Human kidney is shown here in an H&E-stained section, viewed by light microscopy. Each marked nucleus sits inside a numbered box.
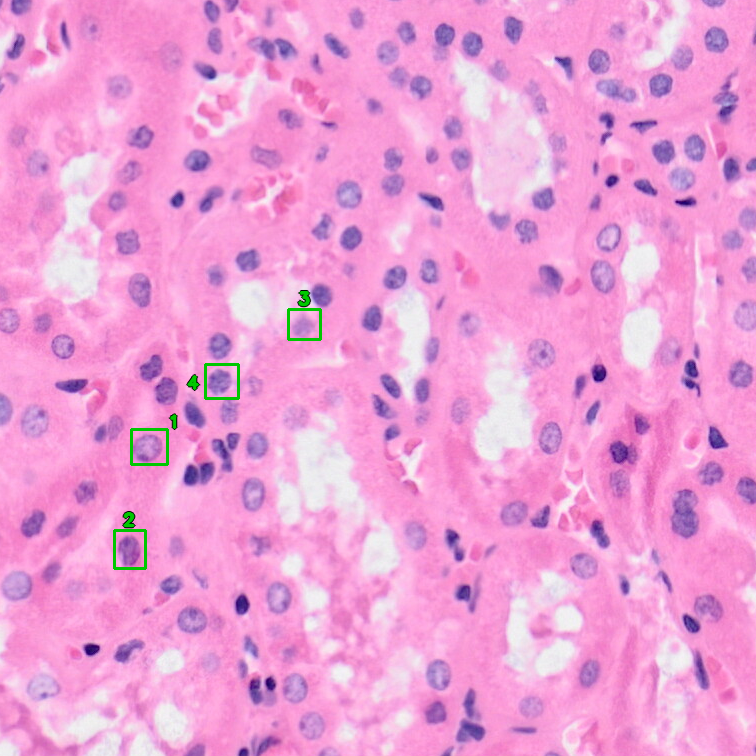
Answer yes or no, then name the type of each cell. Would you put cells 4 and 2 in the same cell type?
No, cell 2 is a proximal tubule cell, and cell 4 is a loop of Henle or distal tubule cell.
